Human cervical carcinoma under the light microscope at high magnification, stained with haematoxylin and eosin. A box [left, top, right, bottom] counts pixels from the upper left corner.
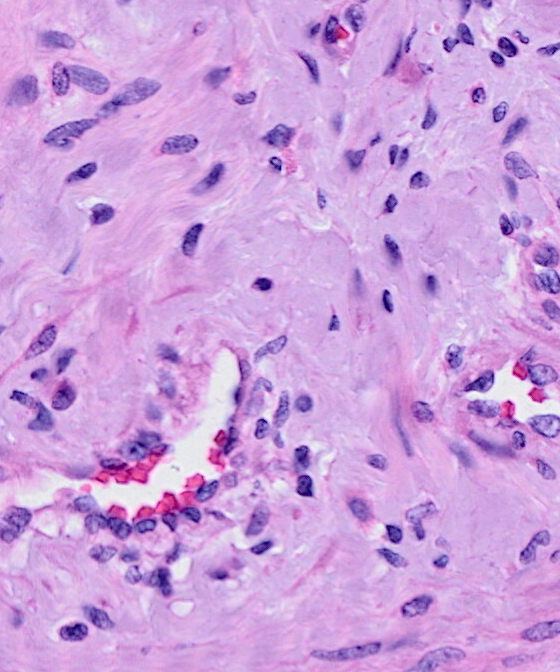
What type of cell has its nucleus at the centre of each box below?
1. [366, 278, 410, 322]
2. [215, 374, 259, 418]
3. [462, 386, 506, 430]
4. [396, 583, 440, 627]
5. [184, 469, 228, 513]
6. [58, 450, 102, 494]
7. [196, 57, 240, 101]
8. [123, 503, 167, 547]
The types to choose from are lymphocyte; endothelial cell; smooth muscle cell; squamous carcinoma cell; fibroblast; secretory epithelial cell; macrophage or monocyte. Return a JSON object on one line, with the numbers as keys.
{"1": "fibroblast", "2": "endothelial cell", "3": "endothelial cell", "4": "smooth muscle cell", "5": "endothelial cell", "6": "endothelial cell", "7": "fibroblast", "8": "endothelial cell"}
